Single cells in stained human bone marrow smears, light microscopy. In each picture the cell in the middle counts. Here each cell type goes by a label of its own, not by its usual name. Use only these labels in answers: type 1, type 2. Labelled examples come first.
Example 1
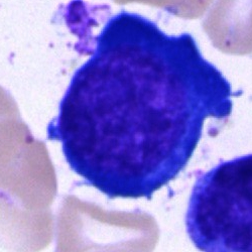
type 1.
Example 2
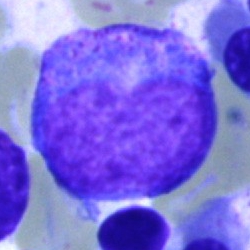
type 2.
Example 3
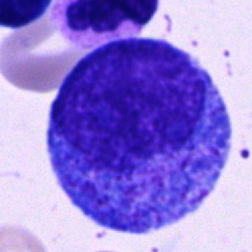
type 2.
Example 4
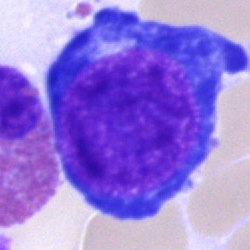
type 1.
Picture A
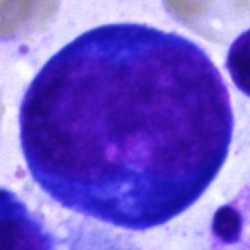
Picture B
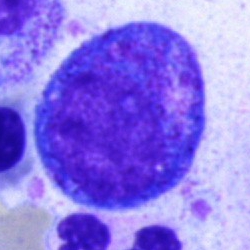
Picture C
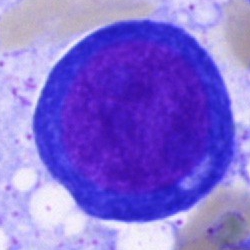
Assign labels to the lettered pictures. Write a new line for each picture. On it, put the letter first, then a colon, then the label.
A: type 1.
B: type 2.
C: type 1.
